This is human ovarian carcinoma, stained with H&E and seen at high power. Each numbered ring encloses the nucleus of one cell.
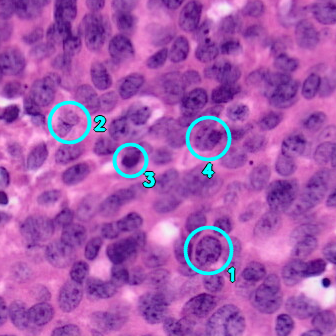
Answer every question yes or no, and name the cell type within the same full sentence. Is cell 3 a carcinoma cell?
Yes, the cell whose number is 3 is a carcinoma cell.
